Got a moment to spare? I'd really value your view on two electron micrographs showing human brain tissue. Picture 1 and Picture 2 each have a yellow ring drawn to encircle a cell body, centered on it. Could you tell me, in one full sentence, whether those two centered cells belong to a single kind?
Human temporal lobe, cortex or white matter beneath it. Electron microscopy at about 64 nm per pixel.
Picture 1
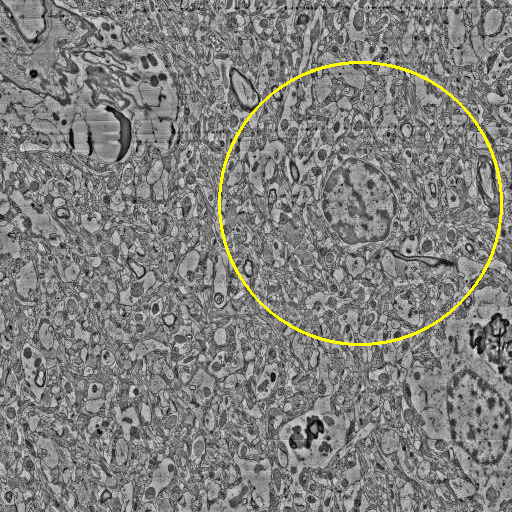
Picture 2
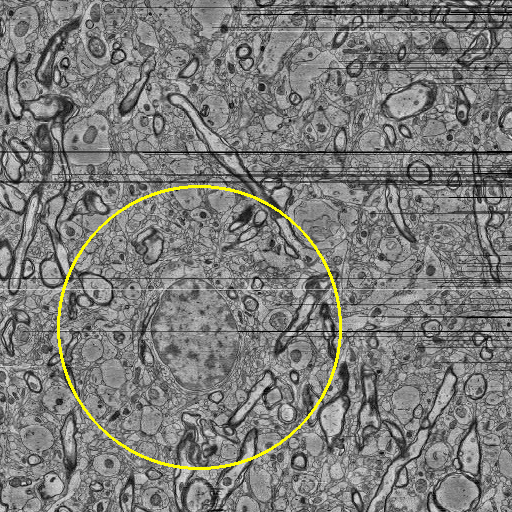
Yes, the two centered cells in Picture 1 and Picture 2 are of a single kind.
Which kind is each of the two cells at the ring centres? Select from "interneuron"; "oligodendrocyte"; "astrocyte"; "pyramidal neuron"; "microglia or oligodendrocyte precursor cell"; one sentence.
In each of the two pictures, the ringed cell is a microglial cell or oligodendrocyte precursor cell.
